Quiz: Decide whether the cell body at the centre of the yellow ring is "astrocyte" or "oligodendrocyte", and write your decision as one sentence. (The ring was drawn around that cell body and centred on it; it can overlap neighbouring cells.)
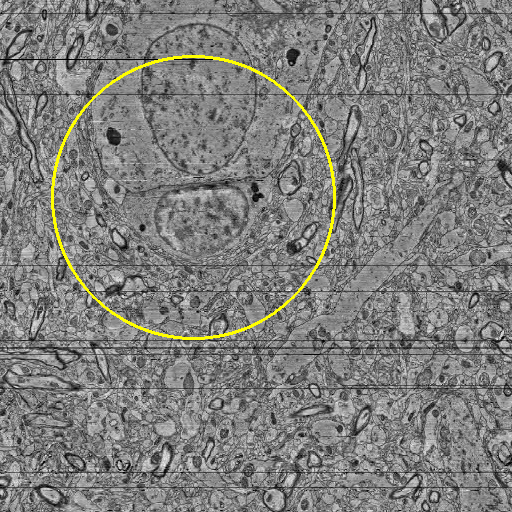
The cell the ring is centred on is an oligodendrocyte.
